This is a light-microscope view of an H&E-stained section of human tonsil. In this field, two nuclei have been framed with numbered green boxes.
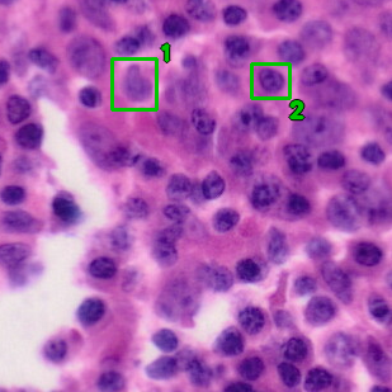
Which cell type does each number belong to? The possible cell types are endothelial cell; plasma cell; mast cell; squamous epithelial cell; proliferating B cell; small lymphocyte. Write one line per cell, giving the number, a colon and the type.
1: squamous epithelial cell
2: plasma cell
